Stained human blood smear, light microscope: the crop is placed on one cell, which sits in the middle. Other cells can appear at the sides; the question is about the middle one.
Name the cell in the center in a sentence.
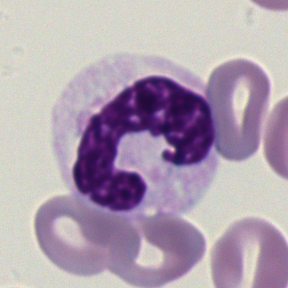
The cell that lies at the centre of the crop is a band neutrophil.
